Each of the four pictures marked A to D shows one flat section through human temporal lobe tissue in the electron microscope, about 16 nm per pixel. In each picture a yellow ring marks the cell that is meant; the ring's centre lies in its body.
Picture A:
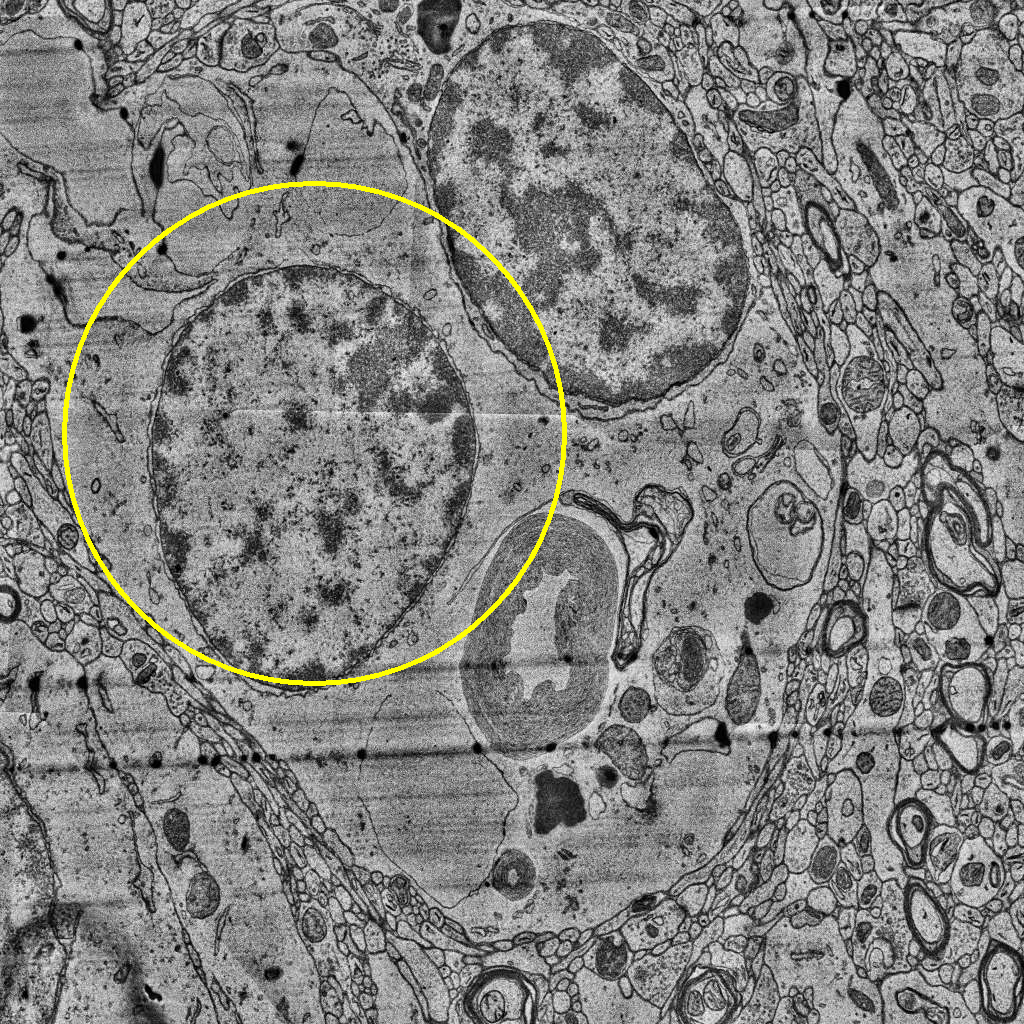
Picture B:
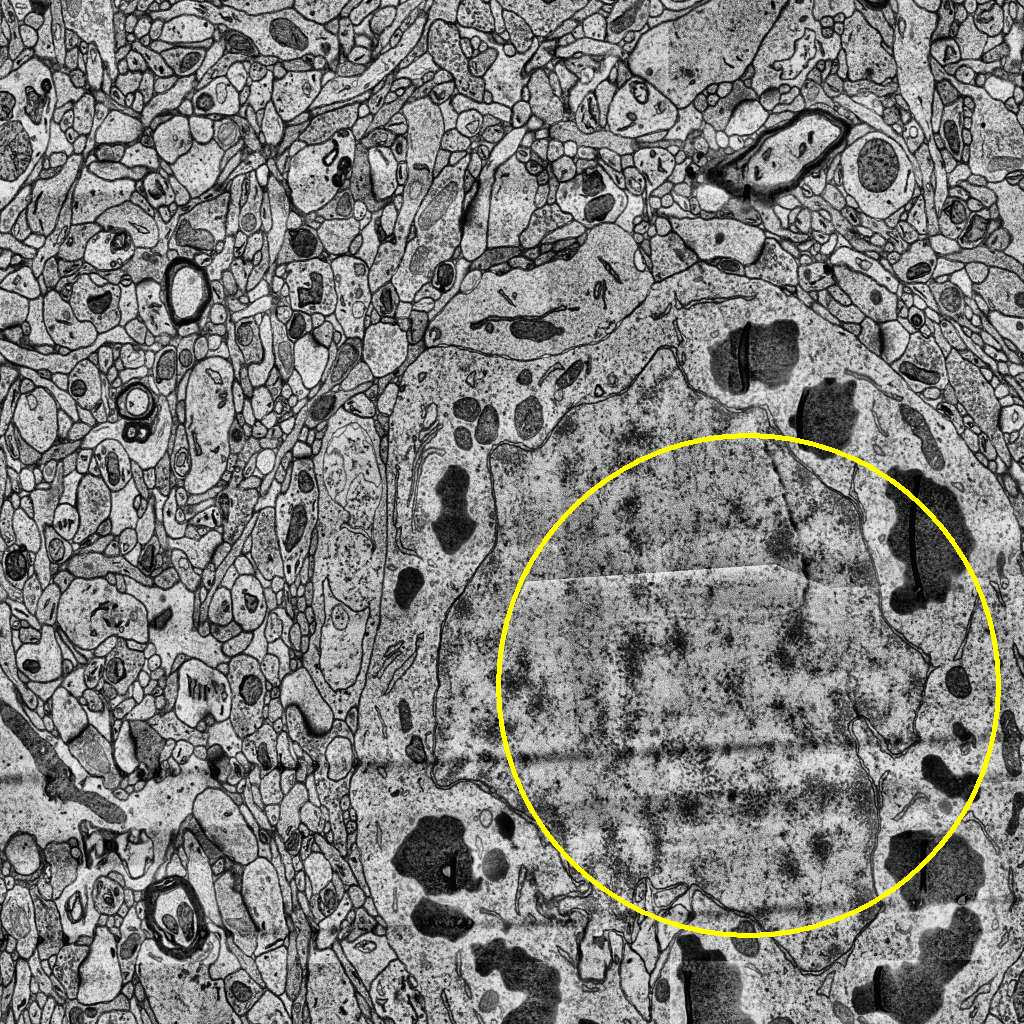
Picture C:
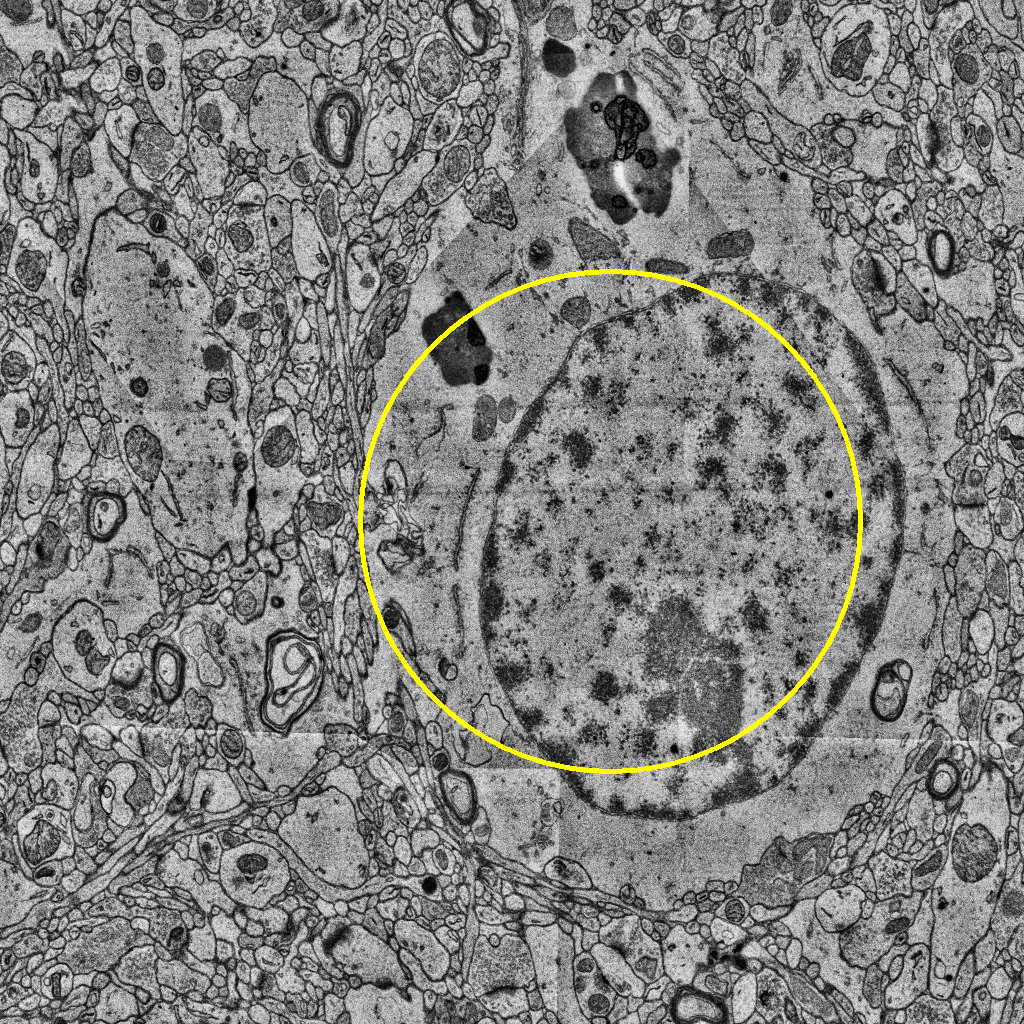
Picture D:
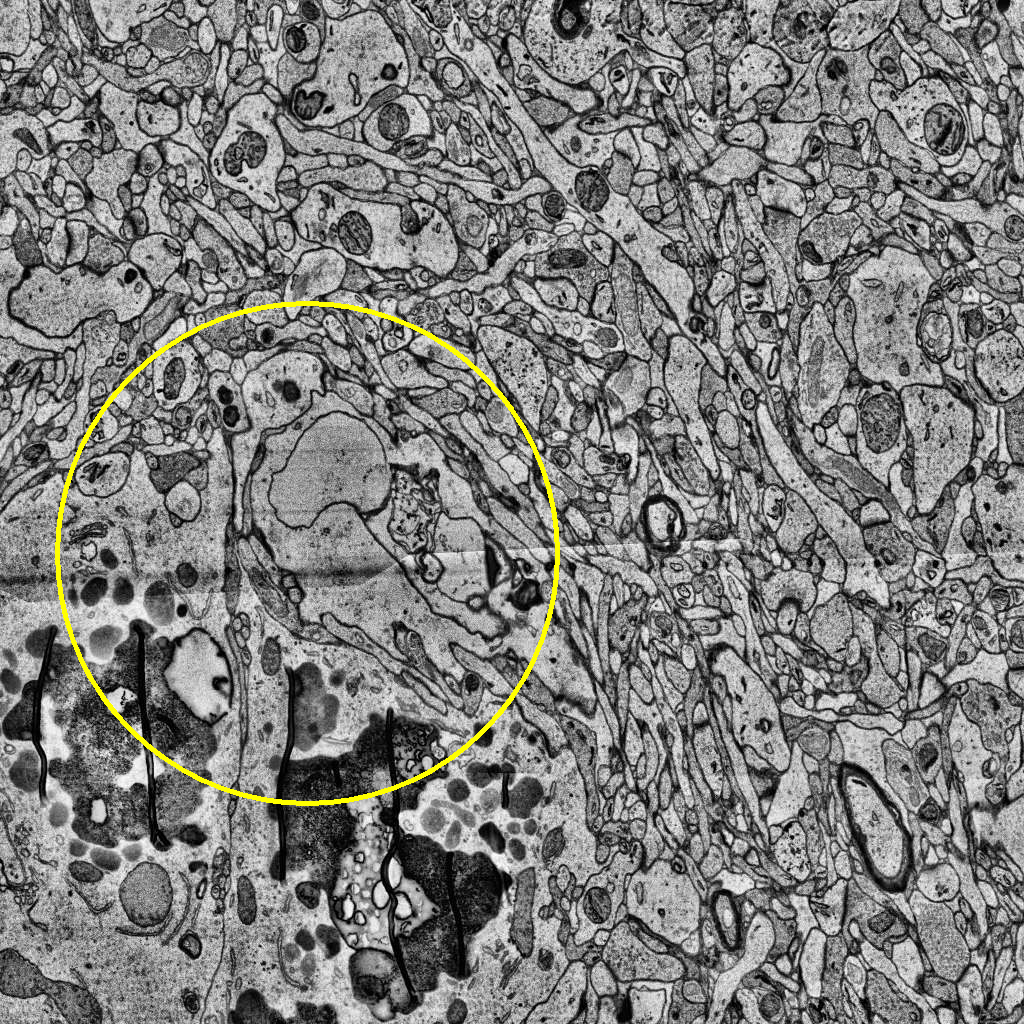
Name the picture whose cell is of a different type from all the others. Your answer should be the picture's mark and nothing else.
B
